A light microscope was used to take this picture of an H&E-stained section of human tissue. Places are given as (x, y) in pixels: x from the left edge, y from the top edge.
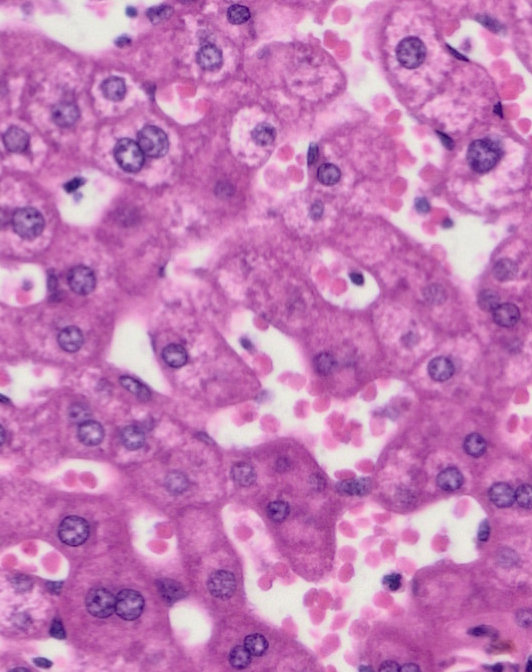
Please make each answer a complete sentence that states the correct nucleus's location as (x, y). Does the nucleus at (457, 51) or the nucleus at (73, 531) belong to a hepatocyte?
The nucleus of the pair that lies within a hepatocyte is at (73, 531).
